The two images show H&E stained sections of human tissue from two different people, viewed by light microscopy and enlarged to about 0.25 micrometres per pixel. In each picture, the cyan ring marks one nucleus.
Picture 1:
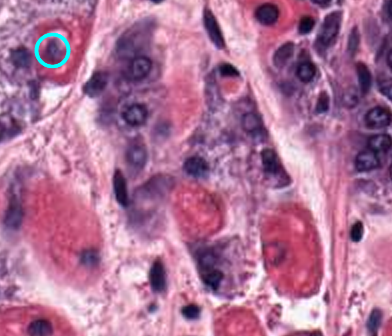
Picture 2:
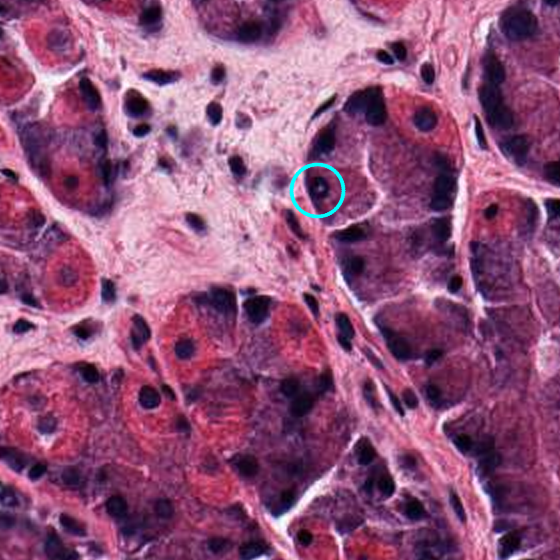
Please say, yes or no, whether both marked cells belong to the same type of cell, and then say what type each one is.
No, the first is a parietal cell and the second a chief cell.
